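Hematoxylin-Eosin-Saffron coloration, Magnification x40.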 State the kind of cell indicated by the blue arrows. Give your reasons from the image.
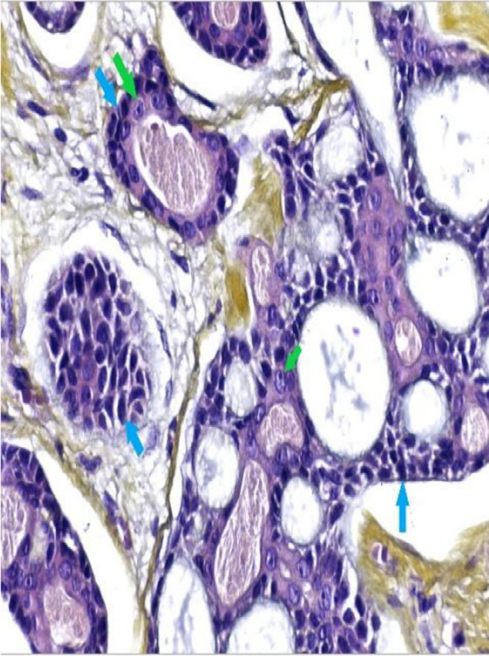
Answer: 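Modified myoepithelial cells. They form the outer layer of nests and tubules.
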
